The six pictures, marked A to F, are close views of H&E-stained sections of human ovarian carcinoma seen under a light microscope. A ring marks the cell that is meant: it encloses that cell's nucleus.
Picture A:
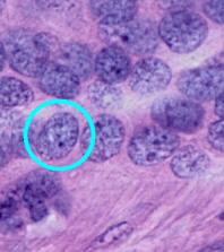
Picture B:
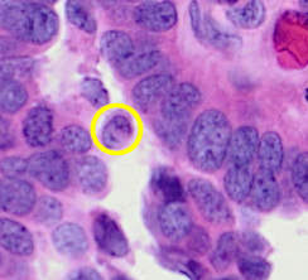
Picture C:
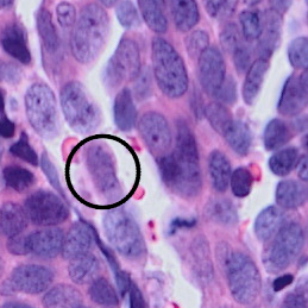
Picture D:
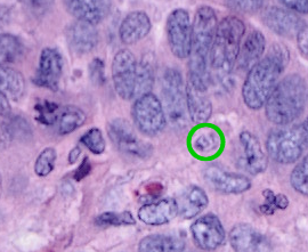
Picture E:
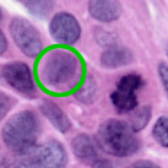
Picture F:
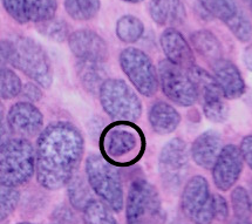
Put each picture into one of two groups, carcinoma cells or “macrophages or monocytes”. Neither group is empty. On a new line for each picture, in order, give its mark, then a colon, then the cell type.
A: carcinoma cell
B: macrophage or monocyte
C: carcinoma cell
D: macrophage or monocyte
E: carcinoma cell
F: macrophage or monocyte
